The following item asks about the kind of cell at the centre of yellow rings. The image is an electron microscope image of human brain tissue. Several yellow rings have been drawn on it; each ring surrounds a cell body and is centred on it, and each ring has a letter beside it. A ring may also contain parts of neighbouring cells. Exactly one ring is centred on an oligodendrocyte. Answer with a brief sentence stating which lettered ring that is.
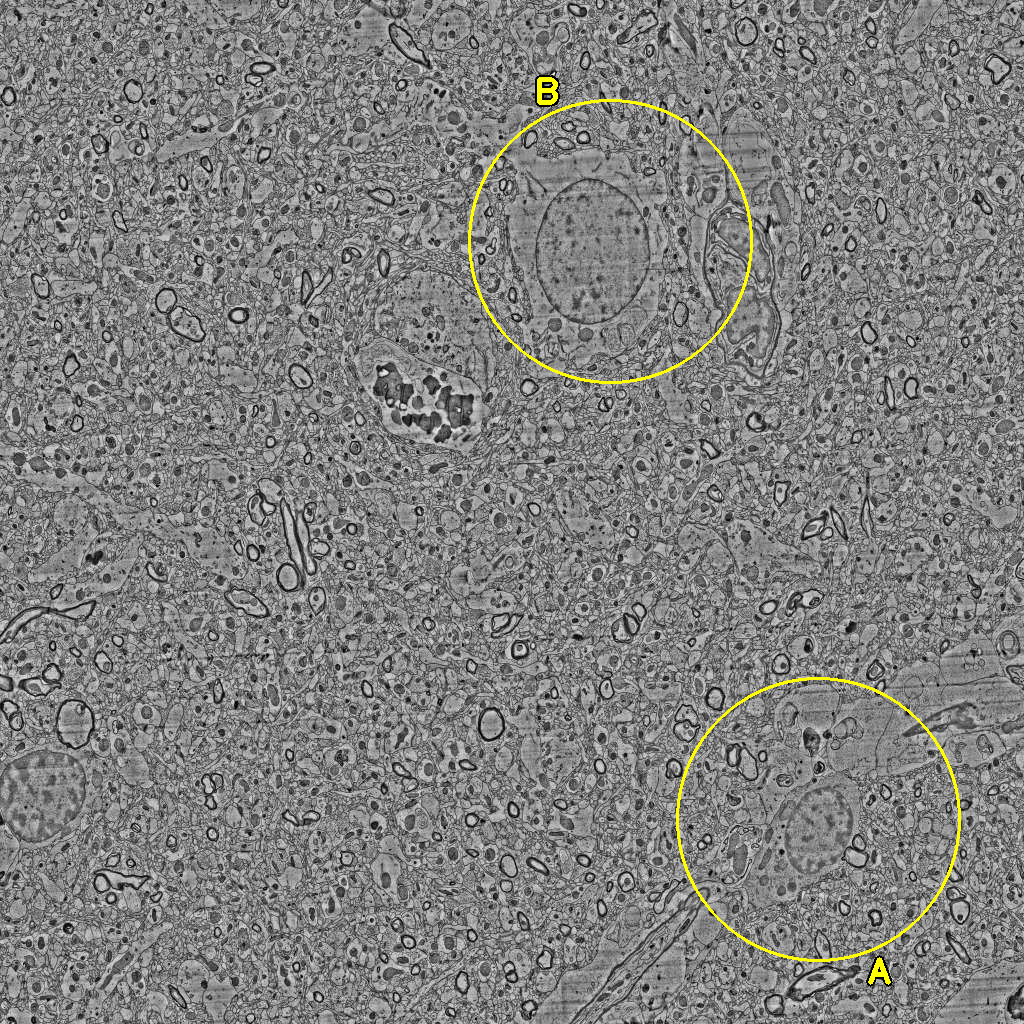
That is ring A.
